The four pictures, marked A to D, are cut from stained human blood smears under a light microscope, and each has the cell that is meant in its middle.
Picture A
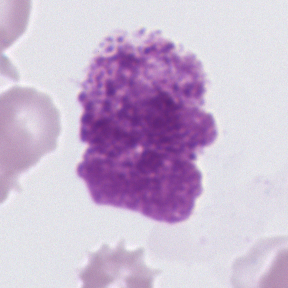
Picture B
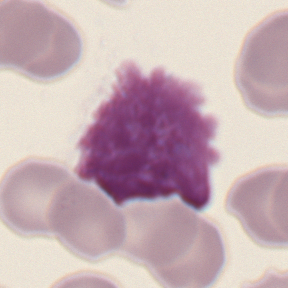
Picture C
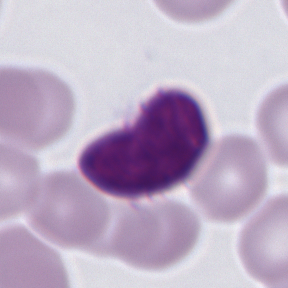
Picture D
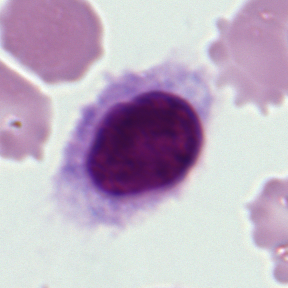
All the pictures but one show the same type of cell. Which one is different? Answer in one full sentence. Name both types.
Picture D is the odd one out: it shows a hairy cell, while the others show smudge cells.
